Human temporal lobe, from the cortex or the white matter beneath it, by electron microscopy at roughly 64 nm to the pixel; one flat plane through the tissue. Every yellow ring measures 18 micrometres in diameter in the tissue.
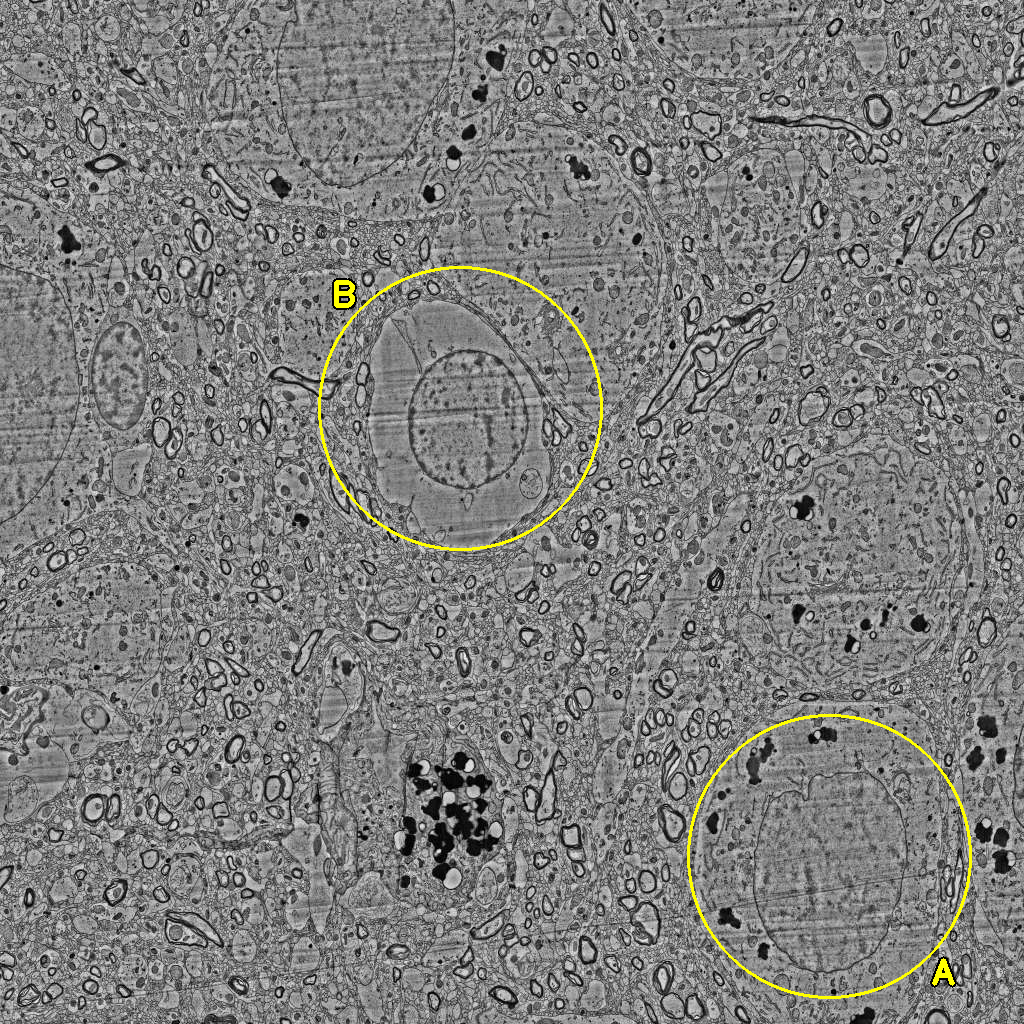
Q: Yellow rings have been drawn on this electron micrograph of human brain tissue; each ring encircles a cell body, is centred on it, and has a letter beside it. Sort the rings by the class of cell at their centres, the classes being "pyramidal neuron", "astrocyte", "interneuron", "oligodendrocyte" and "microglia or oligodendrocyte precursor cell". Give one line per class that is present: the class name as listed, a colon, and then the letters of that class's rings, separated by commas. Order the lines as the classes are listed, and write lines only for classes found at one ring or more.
pyramidal neuron: A
astrocyte: B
